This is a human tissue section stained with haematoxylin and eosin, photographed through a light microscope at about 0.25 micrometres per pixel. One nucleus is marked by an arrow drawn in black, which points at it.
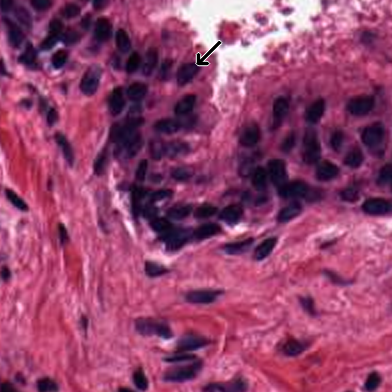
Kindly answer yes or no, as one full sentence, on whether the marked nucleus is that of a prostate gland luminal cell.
Yes, the marked nucleus is a nucleus of a prostate gland luminal cell.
